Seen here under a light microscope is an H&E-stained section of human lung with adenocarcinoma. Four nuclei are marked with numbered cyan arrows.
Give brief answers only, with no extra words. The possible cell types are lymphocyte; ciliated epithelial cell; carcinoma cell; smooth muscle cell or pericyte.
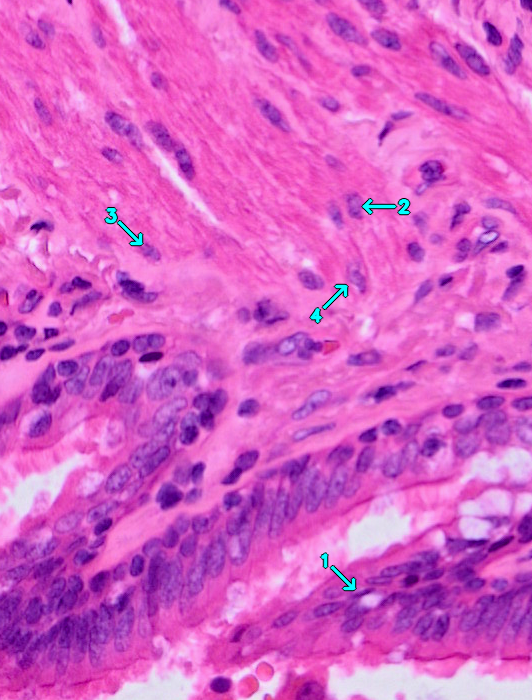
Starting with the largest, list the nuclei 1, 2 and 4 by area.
4, 2, 1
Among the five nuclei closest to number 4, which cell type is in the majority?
smooth muscle cell or pericyte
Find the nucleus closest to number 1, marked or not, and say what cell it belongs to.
ciliated epithelial cell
